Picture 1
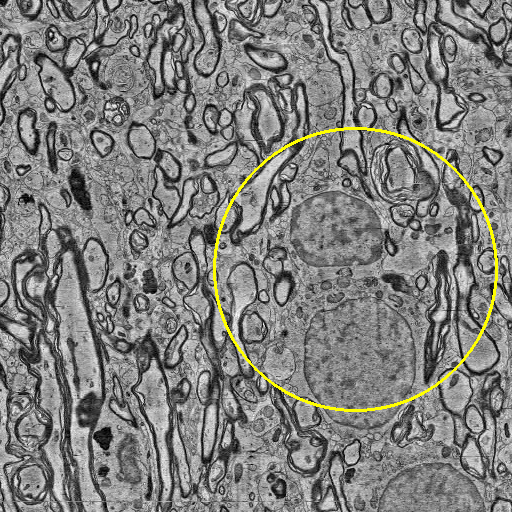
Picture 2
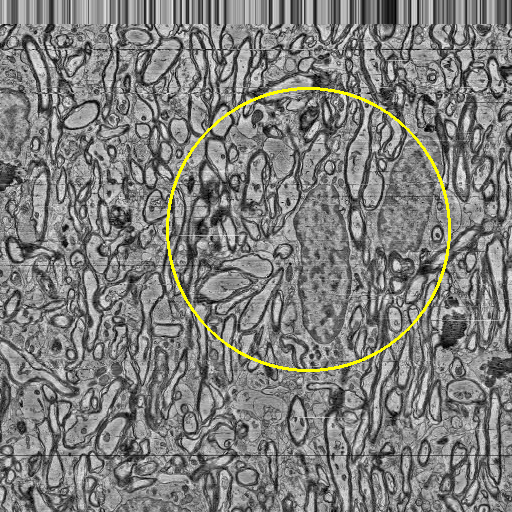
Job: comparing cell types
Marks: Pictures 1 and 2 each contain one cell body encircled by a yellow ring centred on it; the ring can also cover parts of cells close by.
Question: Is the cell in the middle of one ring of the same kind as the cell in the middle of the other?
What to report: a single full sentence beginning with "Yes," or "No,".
Yes, the cell at the ring centre in Picture 1 and its partner in Picture 2 are of one kind.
